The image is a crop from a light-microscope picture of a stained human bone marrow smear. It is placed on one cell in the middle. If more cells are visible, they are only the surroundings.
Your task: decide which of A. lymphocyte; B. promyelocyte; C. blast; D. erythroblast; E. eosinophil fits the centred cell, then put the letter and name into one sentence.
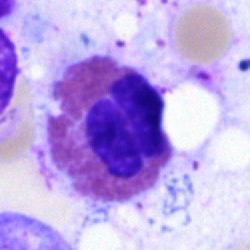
At the centre of the crop lies an eosinophil, which makes option E correct.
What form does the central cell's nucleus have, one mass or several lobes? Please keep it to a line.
The nucleus has been partitioned into two or more lobes.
